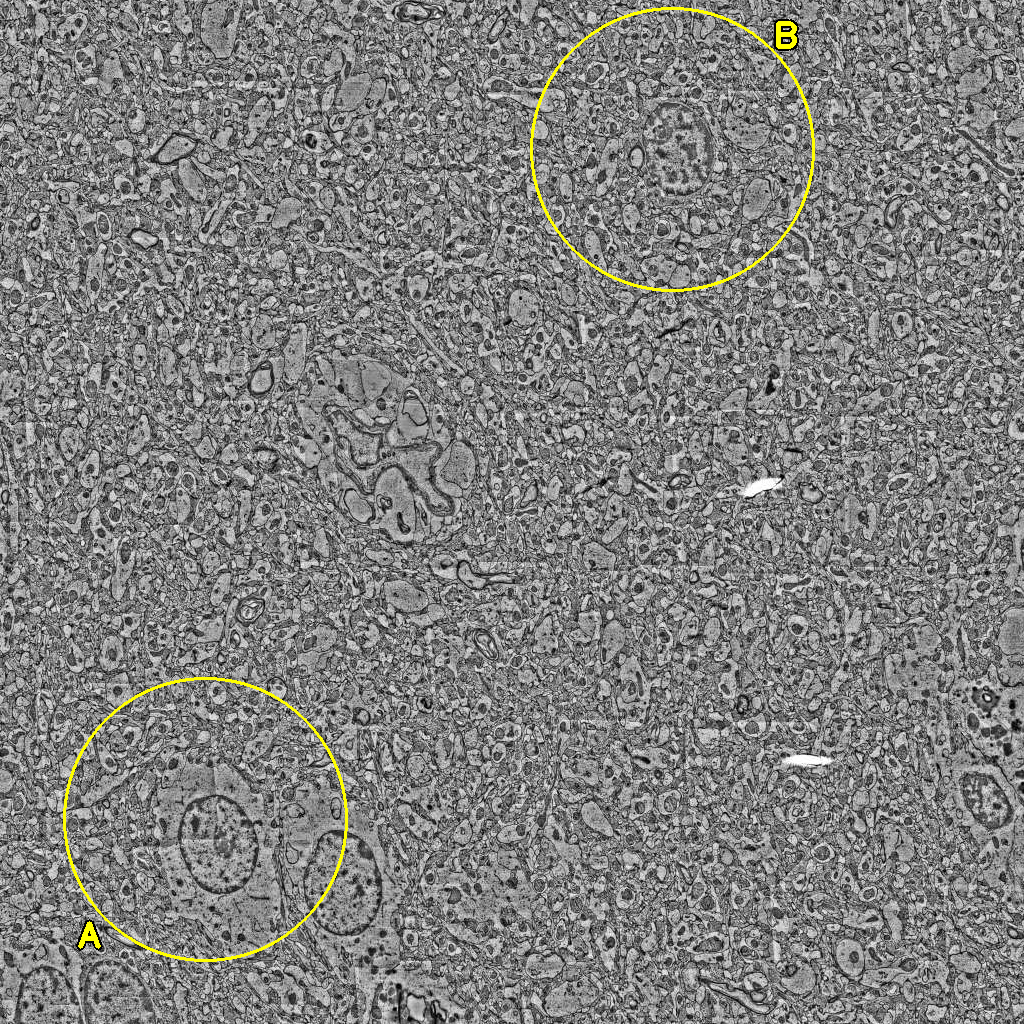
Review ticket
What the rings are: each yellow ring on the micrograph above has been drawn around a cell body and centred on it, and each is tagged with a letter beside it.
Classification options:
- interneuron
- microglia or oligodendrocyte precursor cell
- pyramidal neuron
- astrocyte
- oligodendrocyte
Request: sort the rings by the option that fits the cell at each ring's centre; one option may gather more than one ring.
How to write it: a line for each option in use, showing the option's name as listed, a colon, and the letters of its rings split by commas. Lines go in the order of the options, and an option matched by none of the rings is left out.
astrocyte: A
oligodendrocyte: B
